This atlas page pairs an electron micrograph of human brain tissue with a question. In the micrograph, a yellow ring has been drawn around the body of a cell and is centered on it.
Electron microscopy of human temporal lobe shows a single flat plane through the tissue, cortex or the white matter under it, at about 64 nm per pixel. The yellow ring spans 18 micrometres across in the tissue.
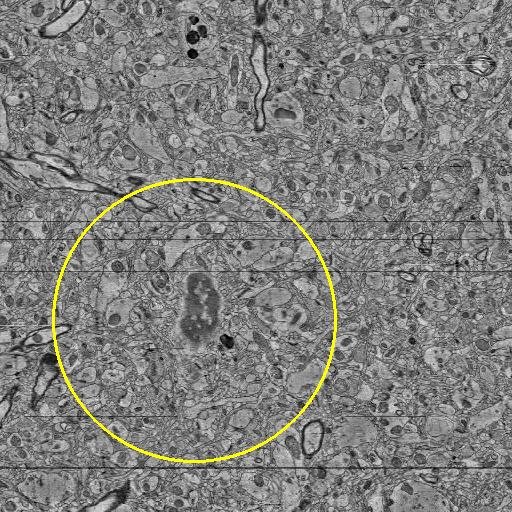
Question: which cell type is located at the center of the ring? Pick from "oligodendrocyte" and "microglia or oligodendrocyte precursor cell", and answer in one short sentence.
Located at the center of the ring is a microglial cell or oligodendrocyte precursor cell.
